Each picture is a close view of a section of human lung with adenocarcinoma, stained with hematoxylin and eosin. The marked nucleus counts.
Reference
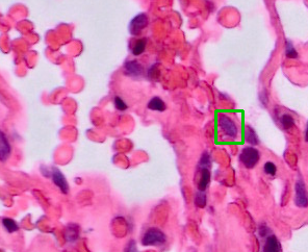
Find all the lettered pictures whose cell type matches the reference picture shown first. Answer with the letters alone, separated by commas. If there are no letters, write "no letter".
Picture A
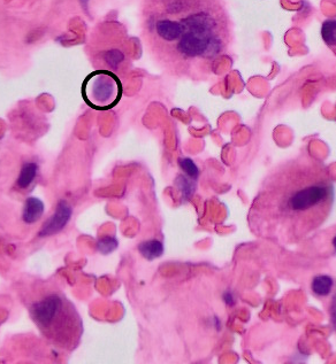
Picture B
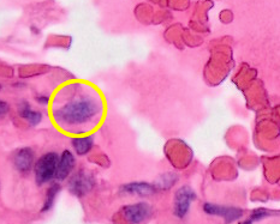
A, B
